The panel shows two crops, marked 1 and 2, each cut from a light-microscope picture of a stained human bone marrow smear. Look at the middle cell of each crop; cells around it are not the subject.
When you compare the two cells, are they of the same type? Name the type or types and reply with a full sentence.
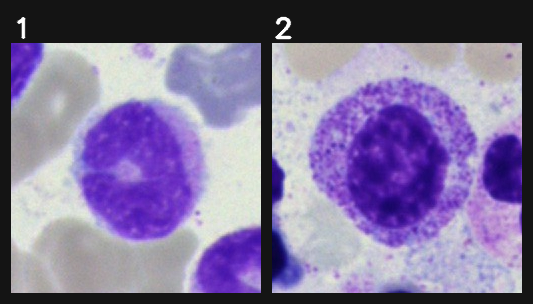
No, crop 1 depicts a monocyte, and crop 2 depicts a myelocyte.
